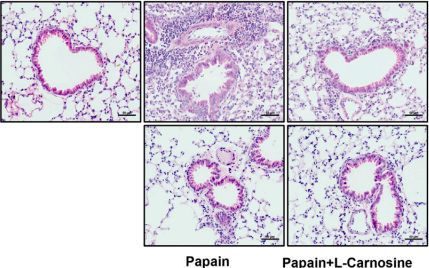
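Five small sections of lung stained with hematoxylin and eosin, each centred on a bronchiole or airway. The airways are lined by a continuous pink-stained epithelium with nuclei in a row, surrounded by a thin wall and by the lace-like network of thin alveolar septa. In one section the tissue around the airway is crowded with many small, dark purple nuclei that fill and thicken the surrounding septa and obscure the air spaces. The other sections show a more open alveolar network with fewer such nuclei, and the airway walls in some of them are slightly thickened.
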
